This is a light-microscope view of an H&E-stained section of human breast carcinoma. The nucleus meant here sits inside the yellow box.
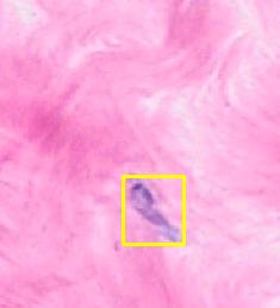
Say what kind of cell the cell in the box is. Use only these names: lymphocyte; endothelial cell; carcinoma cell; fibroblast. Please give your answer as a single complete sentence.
In cellular terms, the cell in the box is a fibroblast.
